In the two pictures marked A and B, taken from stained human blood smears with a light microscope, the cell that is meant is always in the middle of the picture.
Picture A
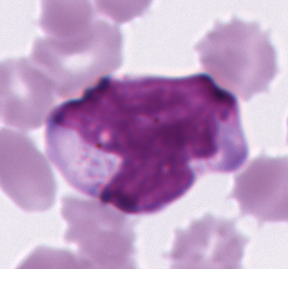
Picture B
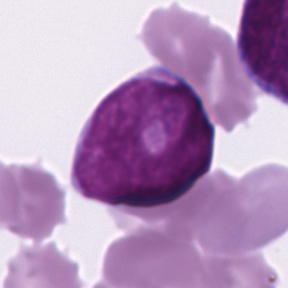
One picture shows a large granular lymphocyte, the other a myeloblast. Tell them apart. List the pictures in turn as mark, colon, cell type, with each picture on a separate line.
A: large granular lymphocyte
B: myeloblast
